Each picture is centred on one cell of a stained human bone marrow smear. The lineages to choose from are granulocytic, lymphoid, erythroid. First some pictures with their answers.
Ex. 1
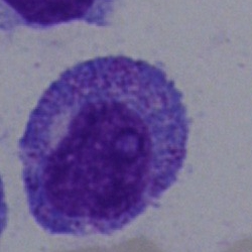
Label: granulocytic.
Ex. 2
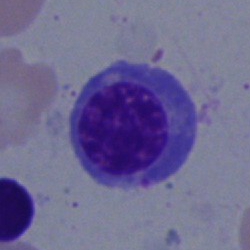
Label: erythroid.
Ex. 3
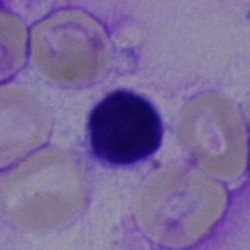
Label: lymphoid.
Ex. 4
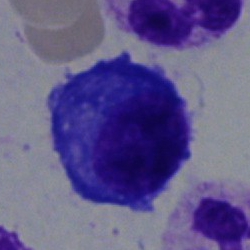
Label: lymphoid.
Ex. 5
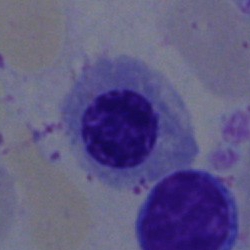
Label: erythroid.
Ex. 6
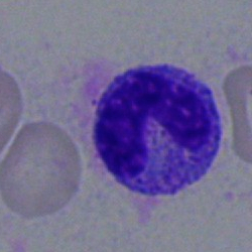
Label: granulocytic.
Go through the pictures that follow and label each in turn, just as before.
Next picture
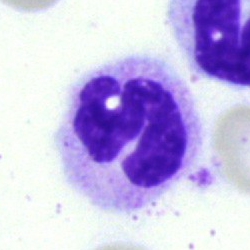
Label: granulocytic.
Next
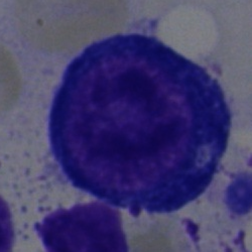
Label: erythroid.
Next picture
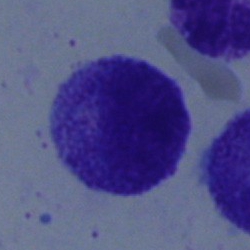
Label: granulocytic.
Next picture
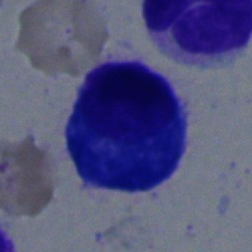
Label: lymphoid.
